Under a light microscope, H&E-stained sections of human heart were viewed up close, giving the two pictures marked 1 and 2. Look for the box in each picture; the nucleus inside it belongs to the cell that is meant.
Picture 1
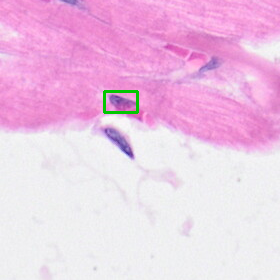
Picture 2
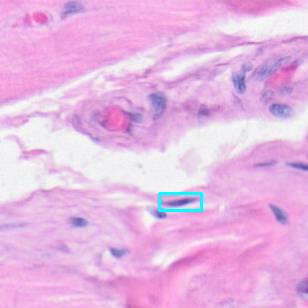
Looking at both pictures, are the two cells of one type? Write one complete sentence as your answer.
Yes, the two pictures both show fibroblasts.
